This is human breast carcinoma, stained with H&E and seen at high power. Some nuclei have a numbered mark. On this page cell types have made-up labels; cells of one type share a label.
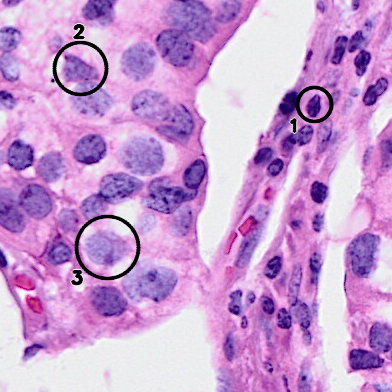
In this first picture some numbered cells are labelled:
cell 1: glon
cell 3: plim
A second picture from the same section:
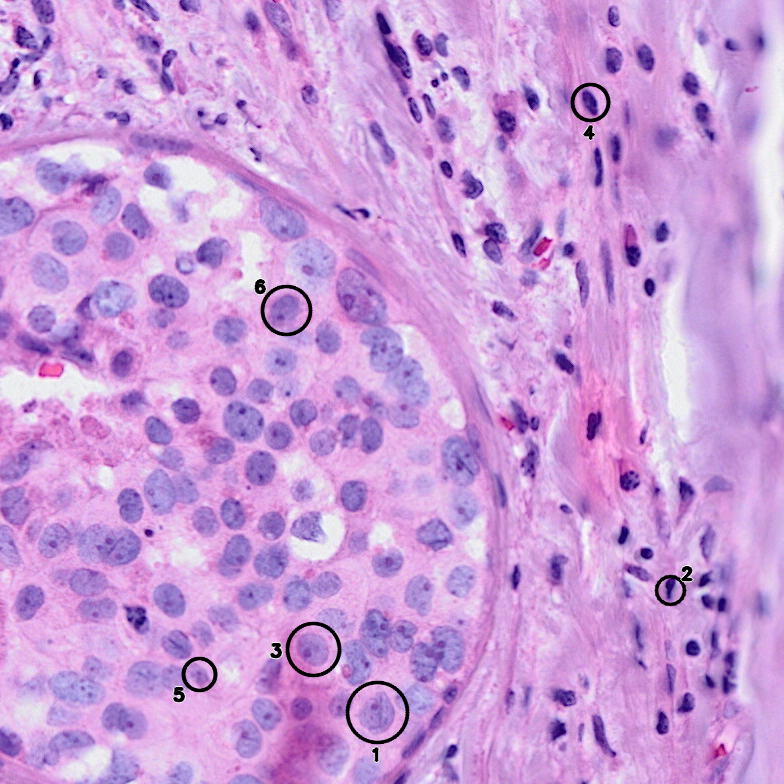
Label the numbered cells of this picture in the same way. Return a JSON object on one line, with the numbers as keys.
{"1": "plim", "2": "glon", "3": "plim", "4": "glon", "5": "plim", "6": "plim"}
